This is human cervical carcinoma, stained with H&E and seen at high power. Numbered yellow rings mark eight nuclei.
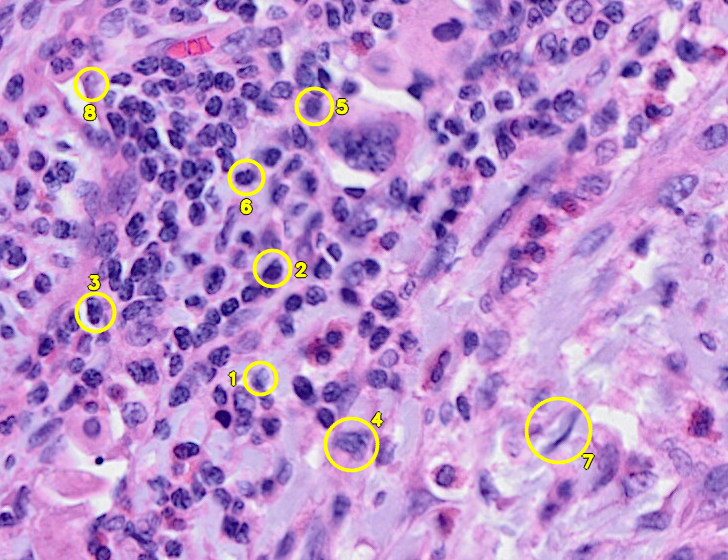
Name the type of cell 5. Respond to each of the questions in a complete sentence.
Number 5 among the marked cells is a lymphocyte.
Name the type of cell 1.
The correct answer for cell 1 is a lymphocyte.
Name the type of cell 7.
Heads up, the cell numbered 7 is a fibroblast.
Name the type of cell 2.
That cell with number 2 is a lymphocyte.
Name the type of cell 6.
The numbered cell 6 is identified here as a lymphocyte.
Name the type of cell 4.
The correct label for cell 4 is an endothelial cell.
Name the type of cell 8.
That cell with number 8 is an endothelial cell.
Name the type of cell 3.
The cell indicated with the number 3 is classed as a lymphocyte.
